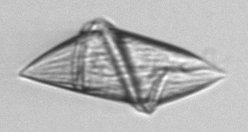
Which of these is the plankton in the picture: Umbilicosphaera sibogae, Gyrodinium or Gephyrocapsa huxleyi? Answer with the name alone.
Gyrodinium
